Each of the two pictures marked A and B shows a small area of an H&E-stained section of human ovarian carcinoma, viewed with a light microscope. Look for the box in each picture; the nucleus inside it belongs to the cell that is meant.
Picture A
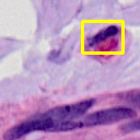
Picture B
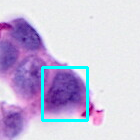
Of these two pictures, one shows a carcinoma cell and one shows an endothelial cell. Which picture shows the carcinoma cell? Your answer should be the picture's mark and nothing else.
B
